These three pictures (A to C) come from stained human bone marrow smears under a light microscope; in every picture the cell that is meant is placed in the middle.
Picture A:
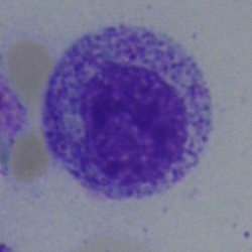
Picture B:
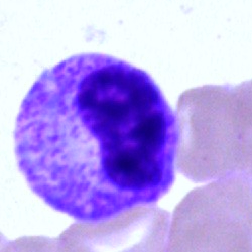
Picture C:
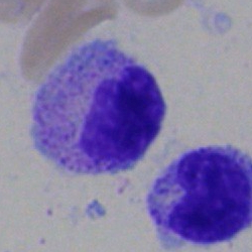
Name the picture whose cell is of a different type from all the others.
B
